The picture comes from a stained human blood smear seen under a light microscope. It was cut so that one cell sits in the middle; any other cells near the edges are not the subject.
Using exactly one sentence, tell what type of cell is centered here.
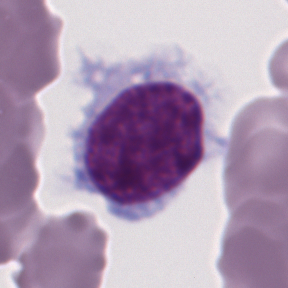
For this crop, the central cell is a hairy cell.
